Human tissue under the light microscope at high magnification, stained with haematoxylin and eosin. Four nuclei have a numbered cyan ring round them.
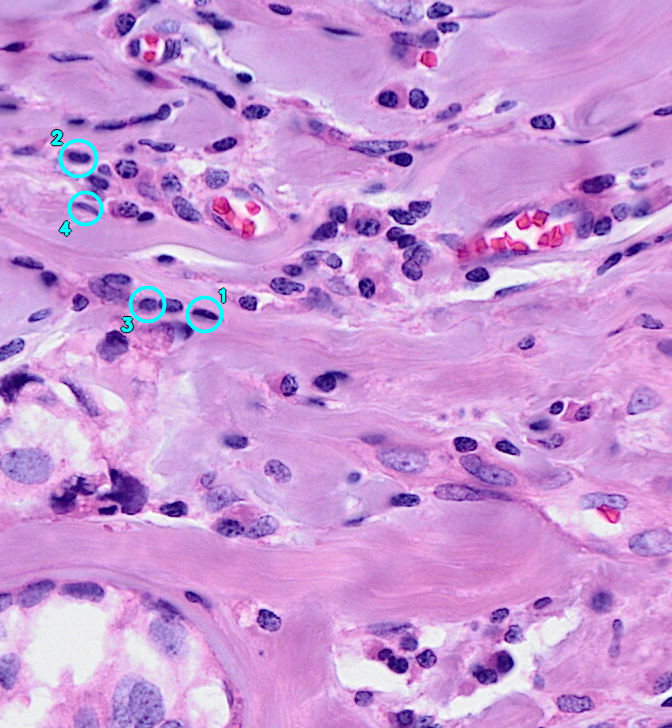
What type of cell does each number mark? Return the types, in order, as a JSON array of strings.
["lymphocyte", "lymphocyte", "lymphocyte", "fibroblast"]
